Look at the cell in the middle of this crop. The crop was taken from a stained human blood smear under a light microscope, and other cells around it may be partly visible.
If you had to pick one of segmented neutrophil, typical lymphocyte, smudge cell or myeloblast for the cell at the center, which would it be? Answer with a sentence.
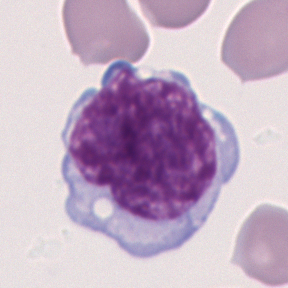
In the crop, the cell of interest at the centre is a myeloblast.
